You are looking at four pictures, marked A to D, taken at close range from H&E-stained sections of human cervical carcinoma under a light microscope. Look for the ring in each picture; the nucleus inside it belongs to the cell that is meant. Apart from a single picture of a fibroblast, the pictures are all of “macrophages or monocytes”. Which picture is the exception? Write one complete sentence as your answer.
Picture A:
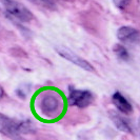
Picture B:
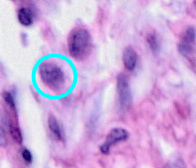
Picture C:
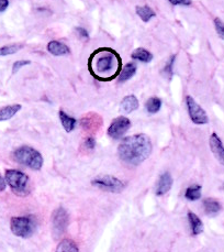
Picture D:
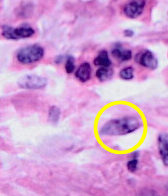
It is picture C that shows the fibroblast.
